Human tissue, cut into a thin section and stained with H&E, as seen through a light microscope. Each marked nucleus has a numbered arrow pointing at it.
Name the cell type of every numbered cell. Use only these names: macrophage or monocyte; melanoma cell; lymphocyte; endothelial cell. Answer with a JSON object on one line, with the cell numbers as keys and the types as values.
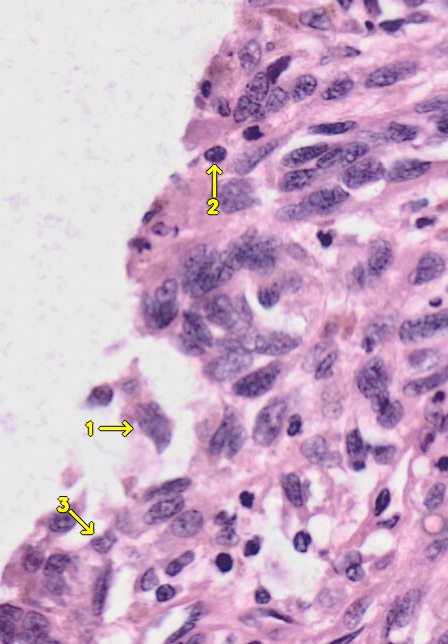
{"1": "melanoma cell", "2": "lymphocyte", "3": "melanoma cell"}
